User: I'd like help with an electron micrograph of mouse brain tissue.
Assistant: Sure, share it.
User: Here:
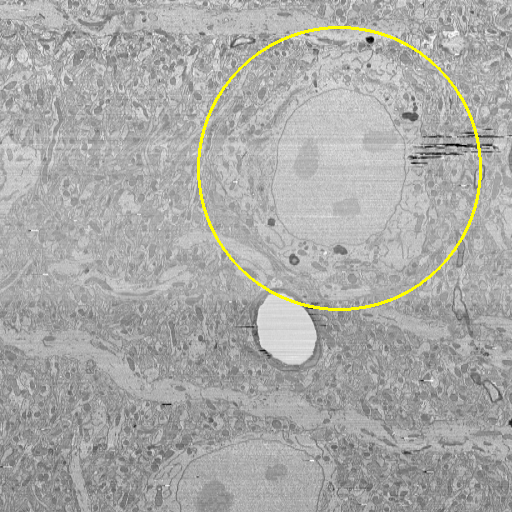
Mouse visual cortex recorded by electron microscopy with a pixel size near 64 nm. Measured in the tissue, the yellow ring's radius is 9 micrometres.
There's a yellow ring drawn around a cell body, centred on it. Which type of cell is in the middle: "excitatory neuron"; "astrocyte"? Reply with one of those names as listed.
excitatory neuron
